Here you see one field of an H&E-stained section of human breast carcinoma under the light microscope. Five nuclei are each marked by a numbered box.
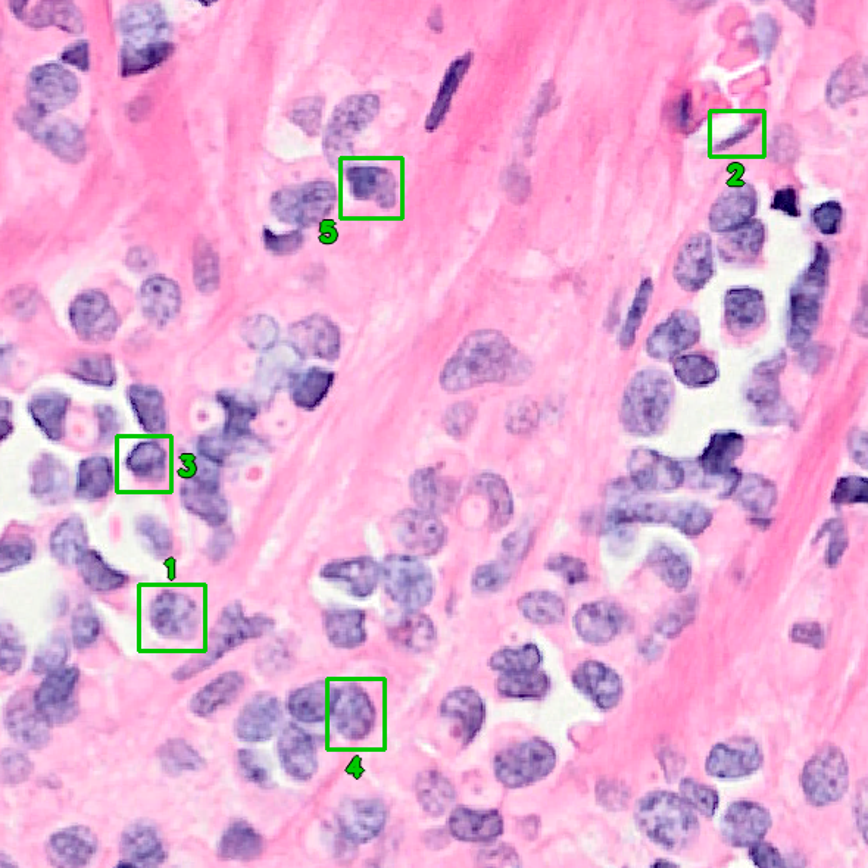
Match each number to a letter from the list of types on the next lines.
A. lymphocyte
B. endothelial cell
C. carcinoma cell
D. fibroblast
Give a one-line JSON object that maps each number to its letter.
{"1": "C", "2": "B", "3": "C", "4": "C", "5": "A"}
